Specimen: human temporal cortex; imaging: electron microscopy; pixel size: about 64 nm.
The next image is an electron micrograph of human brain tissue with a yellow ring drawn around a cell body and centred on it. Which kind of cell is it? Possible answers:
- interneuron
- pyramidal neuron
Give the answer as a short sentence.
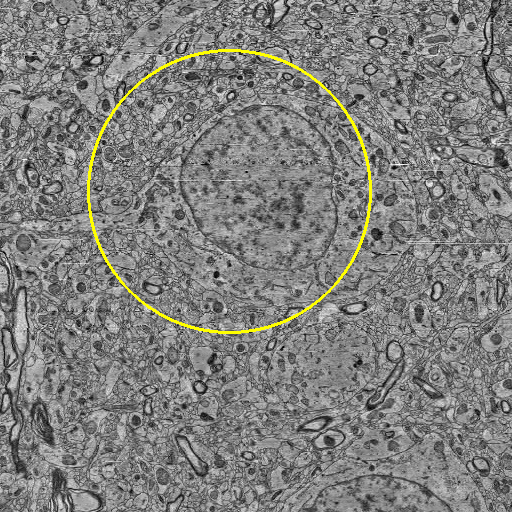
In the ring's centre is an interneuron.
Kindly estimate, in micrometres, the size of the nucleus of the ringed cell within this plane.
The nucleus is about 11 micrometres across in this plane.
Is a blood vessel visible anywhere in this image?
No, there is no blood vessel in the image.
